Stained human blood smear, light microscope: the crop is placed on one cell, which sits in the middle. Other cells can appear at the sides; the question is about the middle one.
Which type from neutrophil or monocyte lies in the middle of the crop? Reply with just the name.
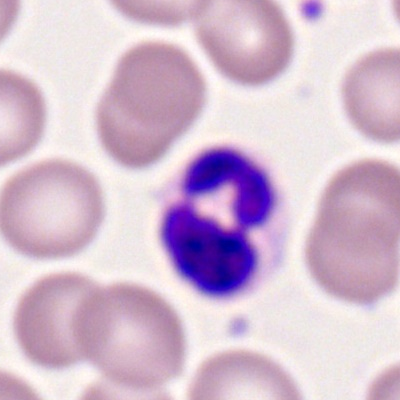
neutrophil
